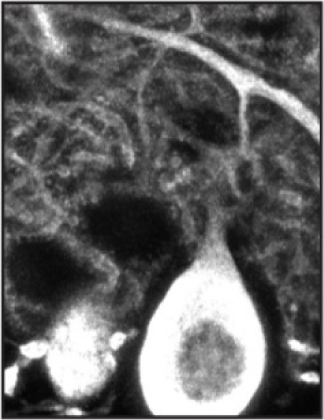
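Here a single Purkinje cell is seen up close, its cell body filled with bright white signal. A large rounded nucleus shows as a slightly dimmer, mottled area in the lower part of the cell body. At the left edge part of a neighbouring brightly filled cell body can be seen. The background is a meshwork of finer bright branches with dark round holes where unstained cells lie.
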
